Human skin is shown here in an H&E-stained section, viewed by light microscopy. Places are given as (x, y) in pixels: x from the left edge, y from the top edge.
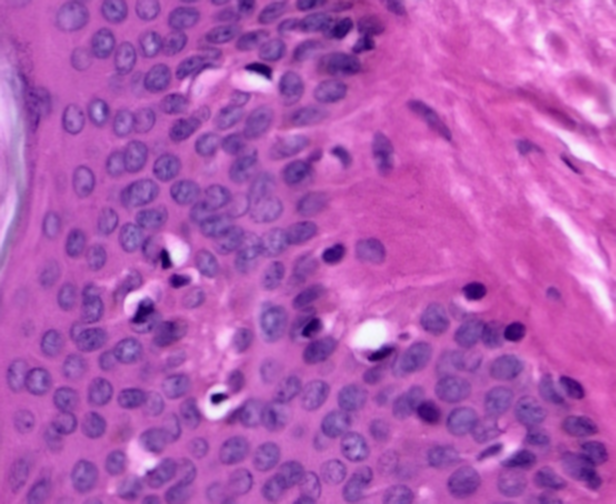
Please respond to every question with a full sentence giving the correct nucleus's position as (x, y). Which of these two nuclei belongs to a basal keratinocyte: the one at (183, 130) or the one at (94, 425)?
Among the two nuclei, the one lying at (183, 130) is part of a basal keratinocyte.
